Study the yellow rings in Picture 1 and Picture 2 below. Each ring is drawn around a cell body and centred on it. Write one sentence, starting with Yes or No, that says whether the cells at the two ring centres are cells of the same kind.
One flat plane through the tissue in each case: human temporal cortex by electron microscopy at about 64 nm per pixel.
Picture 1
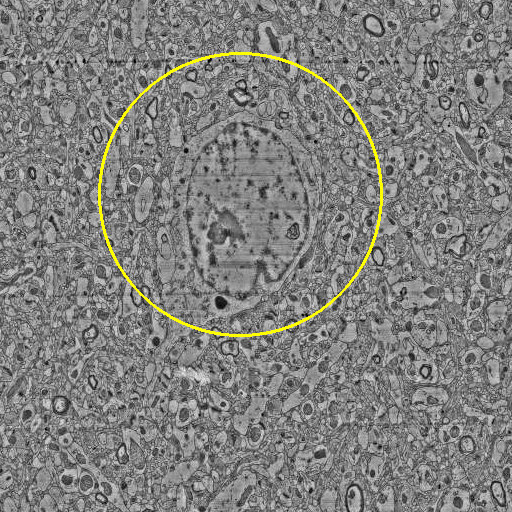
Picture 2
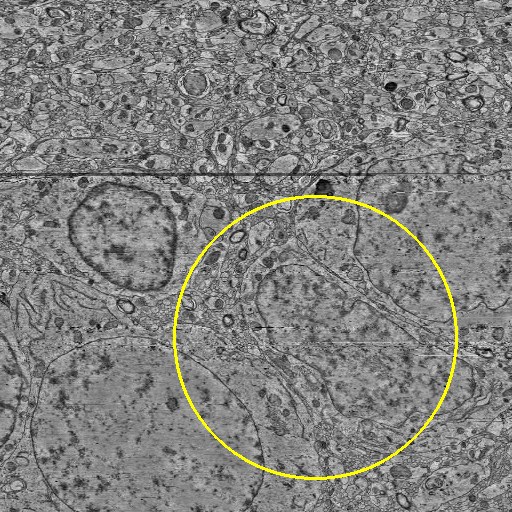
Yes, the cells at both ring centres are of the same kind.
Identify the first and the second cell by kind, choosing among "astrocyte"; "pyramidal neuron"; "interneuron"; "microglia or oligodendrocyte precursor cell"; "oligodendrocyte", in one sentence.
Each one of the two ringed cells is an interneuron.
